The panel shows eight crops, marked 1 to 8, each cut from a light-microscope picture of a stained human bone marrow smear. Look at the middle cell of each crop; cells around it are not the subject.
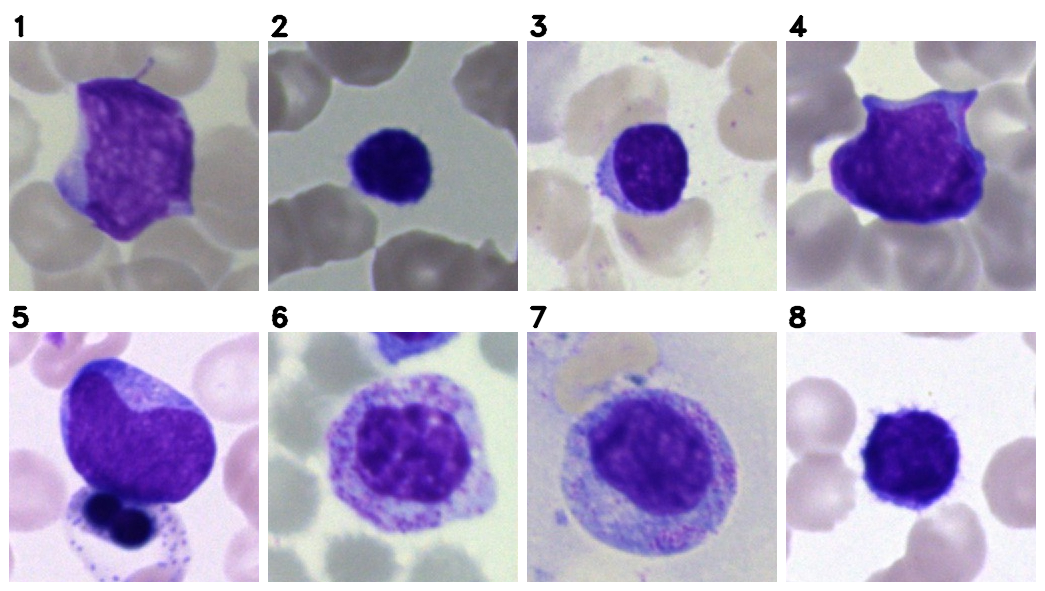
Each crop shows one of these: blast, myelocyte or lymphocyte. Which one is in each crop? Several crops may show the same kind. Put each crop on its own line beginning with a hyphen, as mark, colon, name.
- 1: blast
- 2: lymphocyte
- 3: lymphocyte
- 4: blast
- 5: blast
- 6: myelocyte
- 7: myelocyte
- 8: lymphocyte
